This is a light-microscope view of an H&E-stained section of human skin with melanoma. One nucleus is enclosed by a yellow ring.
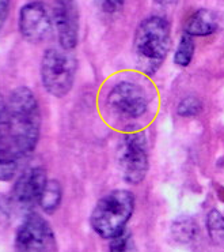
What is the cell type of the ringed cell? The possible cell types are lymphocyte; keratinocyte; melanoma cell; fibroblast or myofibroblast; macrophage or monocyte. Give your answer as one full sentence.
Microscopically, the ringed cell is categorized as a melanoma cell.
